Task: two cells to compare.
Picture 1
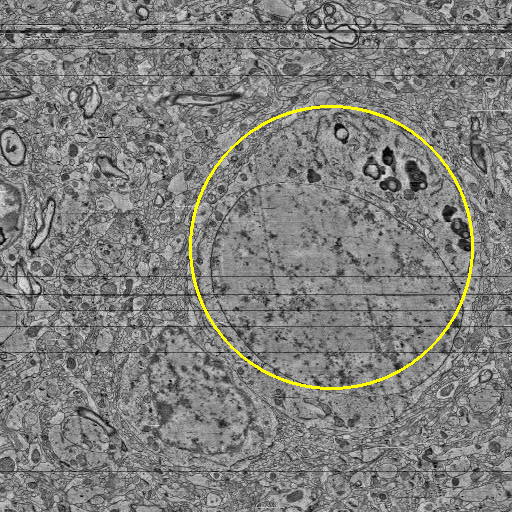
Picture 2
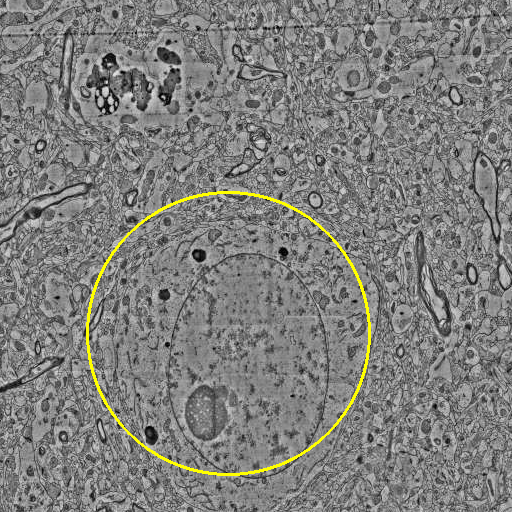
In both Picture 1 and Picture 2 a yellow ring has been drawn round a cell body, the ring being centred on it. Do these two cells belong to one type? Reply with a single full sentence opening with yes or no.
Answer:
Yes, the two cells at the ring centres in Picture 1 and Picture 2 share one type.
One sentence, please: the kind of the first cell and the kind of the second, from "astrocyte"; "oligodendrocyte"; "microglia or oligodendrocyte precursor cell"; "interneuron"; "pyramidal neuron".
Both cells are the same kind, each one being a pyramidal neuron.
